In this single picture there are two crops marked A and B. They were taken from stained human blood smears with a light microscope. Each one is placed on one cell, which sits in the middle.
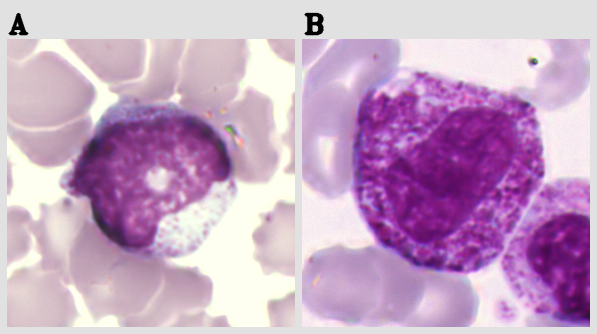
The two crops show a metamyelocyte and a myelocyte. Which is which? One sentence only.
Crop A has a metamyelocyte at its centre, and crop B has a myelocyte.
